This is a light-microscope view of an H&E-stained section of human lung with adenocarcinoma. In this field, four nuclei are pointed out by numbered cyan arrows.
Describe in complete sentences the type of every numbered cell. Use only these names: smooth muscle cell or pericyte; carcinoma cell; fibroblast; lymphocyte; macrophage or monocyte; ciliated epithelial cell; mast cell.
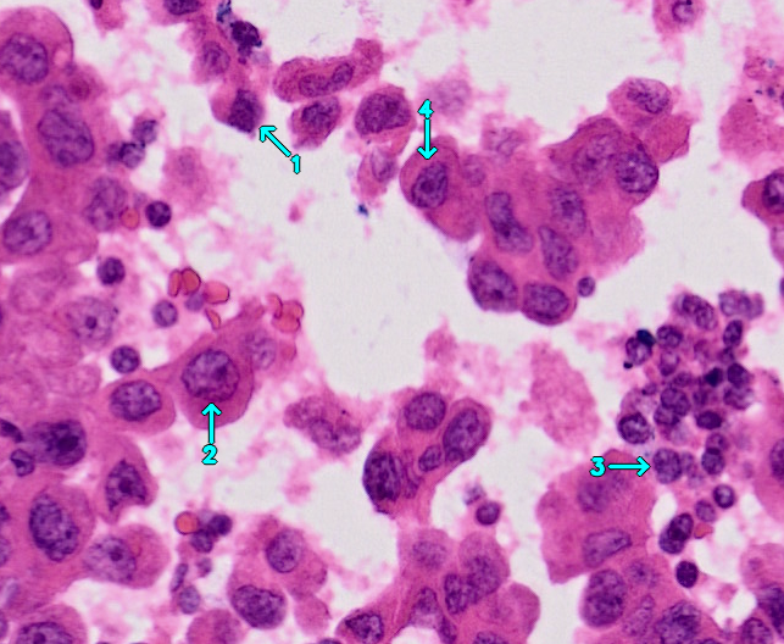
Cells 1, 2 and 4 are carcinoma cells. Cell 3 is a lymphocyte.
